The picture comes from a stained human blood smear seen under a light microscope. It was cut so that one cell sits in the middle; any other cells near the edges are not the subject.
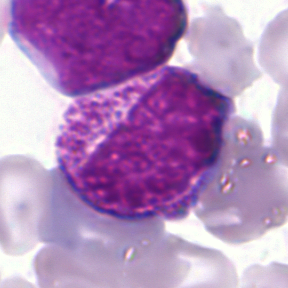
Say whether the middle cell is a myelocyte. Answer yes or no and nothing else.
yes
